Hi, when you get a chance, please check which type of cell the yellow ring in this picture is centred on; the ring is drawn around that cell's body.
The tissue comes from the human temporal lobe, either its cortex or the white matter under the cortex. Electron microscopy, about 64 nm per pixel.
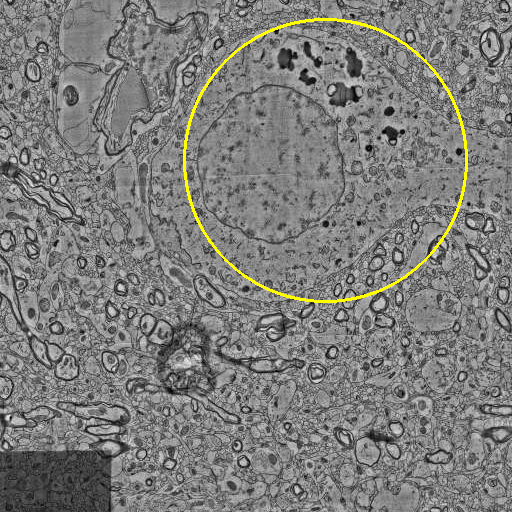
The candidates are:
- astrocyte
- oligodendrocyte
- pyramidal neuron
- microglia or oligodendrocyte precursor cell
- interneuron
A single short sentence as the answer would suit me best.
The ring is drawn around the body of a pyramidal neuron.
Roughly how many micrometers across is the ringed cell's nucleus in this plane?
About 10 micrometers across, in this plane.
